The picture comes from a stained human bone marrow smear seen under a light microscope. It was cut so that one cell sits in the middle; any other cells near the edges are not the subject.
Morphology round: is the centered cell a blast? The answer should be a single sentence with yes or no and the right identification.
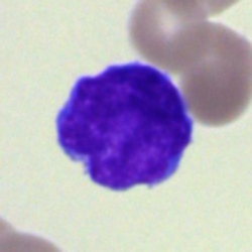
No, the centrally located cell is a lymphocyte rather than a blast.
